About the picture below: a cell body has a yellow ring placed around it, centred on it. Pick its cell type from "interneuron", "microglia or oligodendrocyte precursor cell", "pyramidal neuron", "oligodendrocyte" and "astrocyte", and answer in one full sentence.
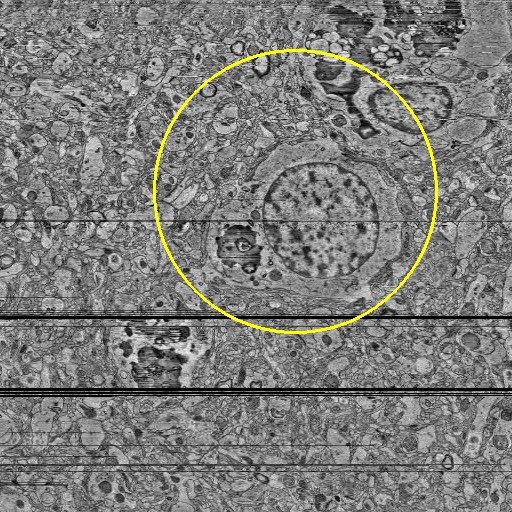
In the picture, an astrocyte is the cell sitting at the centre of the yellow ring.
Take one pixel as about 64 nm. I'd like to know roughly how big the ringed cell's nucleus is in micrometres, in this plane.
Approximately 8 micrometres across in this plane.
